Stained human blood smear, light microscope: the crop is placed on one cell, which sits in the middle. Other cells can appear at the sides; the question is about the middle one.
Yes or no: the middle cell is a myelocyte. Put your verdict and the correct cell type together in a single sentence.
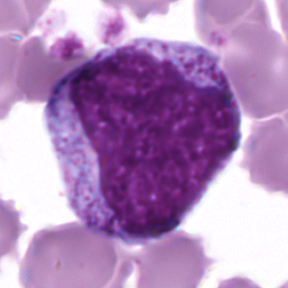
No, the identification should read a promyelocyte, not a myelocyte, for the central cell.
